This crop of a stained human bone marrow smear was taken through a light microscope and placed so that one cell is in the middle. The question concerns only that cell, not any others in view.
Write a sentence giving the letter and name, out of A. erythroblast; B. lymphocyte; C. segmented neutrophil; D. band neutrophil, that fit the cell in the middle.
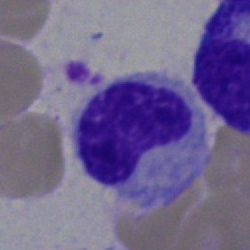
The cell occupying the centre is a band neutrophil; option D is thus the correct choice.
